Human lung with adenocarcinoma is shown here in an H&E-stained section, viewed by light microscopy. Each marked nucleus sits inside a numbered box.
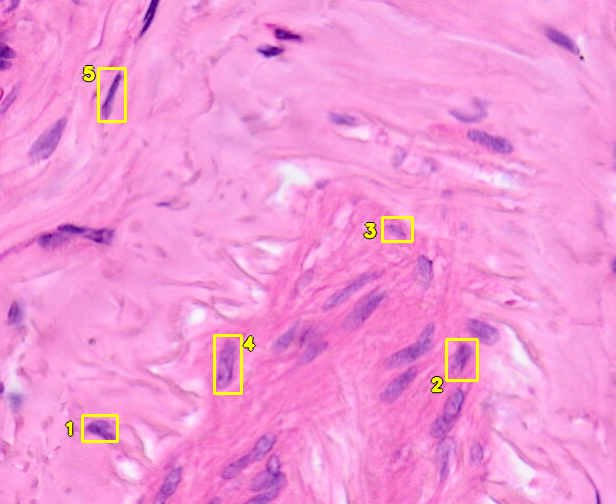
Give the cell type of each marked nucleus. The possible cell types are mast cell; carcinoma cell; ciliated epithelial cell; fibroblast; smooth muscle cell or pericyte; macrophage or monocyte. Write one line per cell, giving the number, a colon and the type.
1: fibroblast
2: smooth muscle cell or pericyte
3: smooth muscle cell or pericyte
4: smooth muscle cell or pericyte
5: fibroblast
